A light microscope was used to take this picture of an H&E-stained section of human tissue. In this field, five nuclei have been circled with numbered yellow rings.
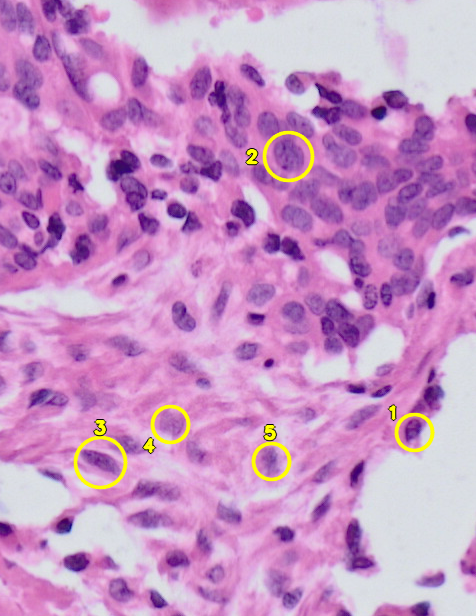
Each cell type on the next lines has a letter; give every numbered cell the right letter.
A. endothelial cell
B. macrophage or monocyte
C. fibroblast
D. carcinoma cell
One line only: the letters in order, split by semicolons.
D; D; C; C; C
